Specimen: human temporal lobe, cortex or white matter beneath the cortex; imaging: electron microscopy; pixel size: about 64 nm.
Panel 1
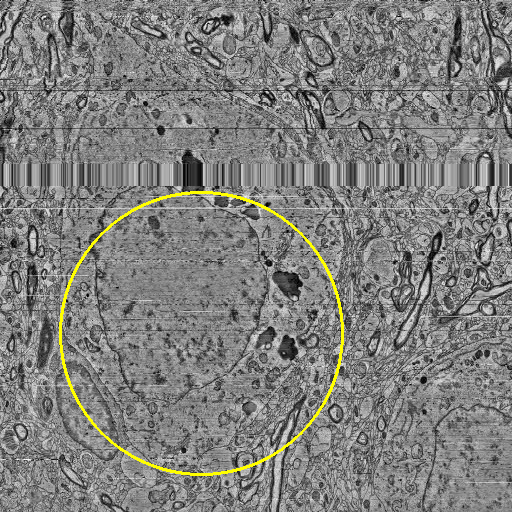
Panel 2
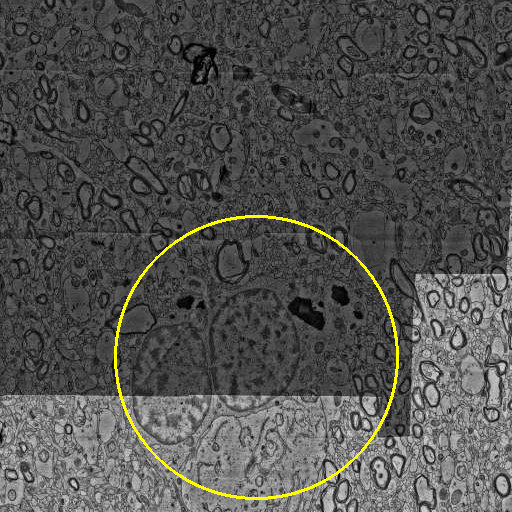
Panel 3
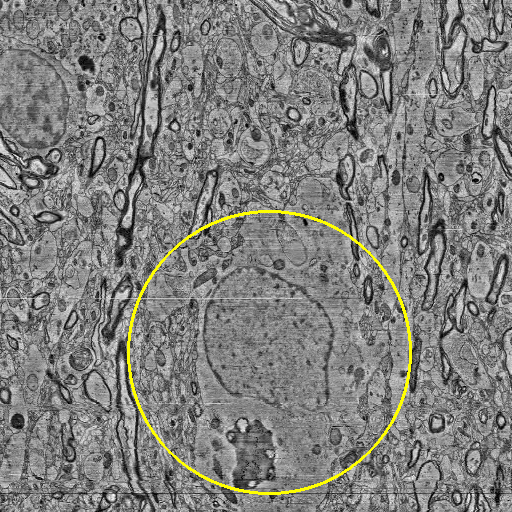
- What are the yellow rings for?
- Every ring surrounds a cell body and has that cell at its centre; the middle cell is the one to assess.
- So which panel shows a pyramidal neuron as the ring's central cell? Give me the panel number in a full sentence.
The panel whose ring is centred on the cell in question is panel 1.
